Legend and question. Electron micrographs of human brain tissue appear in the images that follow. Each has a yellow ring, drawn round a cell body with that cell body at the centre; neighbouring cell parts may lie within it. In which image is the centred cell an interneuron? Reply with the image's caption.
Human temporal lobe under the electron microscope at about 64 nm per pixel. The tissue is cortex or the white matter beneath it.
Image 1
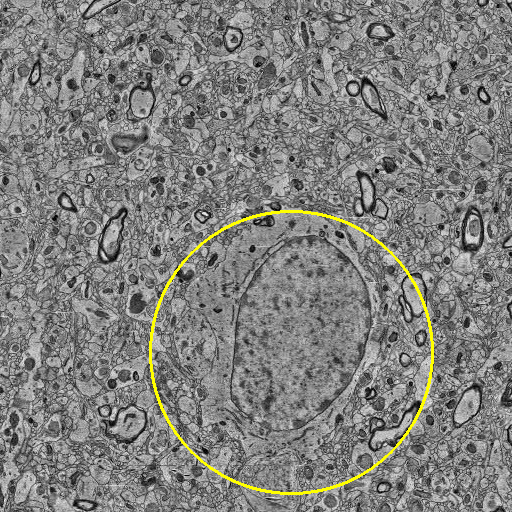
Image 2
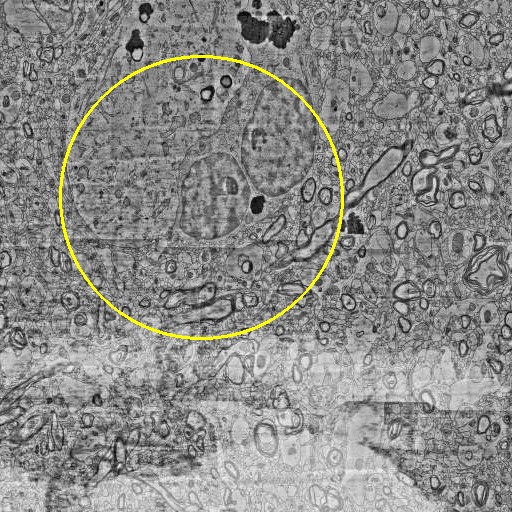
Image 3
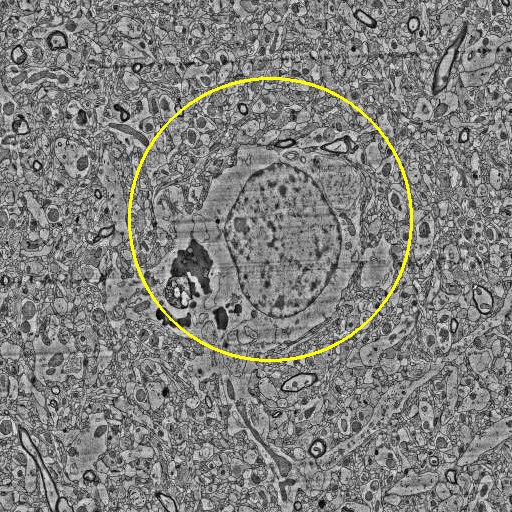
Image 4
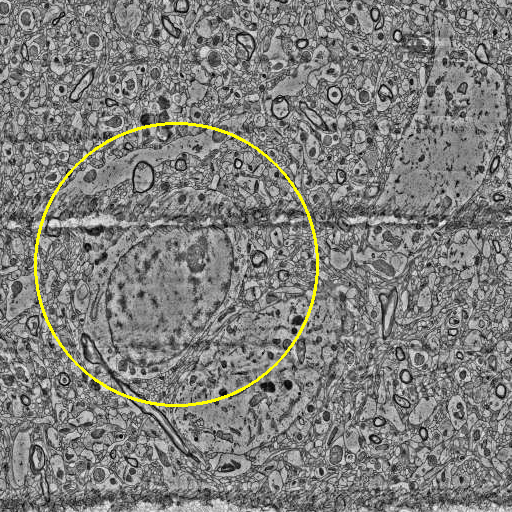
Image 4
